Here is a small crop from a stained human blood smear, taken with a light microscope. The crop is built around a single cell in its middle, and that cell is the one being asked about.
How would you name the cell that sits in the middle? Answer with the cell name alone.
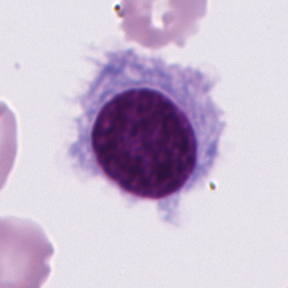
hairy cell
